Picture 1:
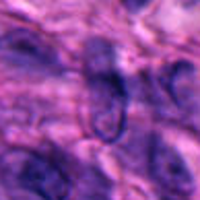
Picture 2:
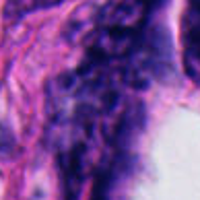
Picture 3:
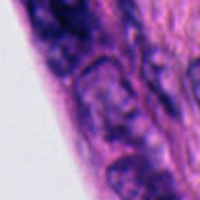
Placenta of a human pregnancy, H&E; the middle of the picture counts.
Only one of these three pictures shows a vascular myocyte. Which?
Picture 1.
